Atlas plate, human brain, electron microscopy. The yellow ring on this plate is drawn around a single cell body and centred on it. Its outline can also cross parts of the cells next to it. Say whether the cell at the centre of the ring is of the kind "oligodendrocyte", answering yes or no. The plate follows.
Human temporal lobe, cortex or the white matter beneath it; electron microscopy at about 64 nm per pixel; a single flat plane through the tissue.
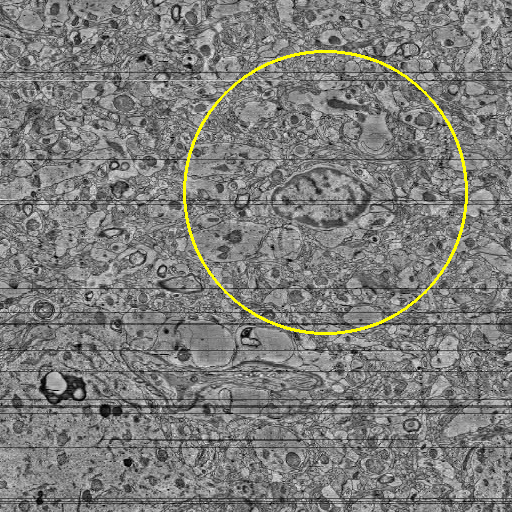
No, the cell is of another kind.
